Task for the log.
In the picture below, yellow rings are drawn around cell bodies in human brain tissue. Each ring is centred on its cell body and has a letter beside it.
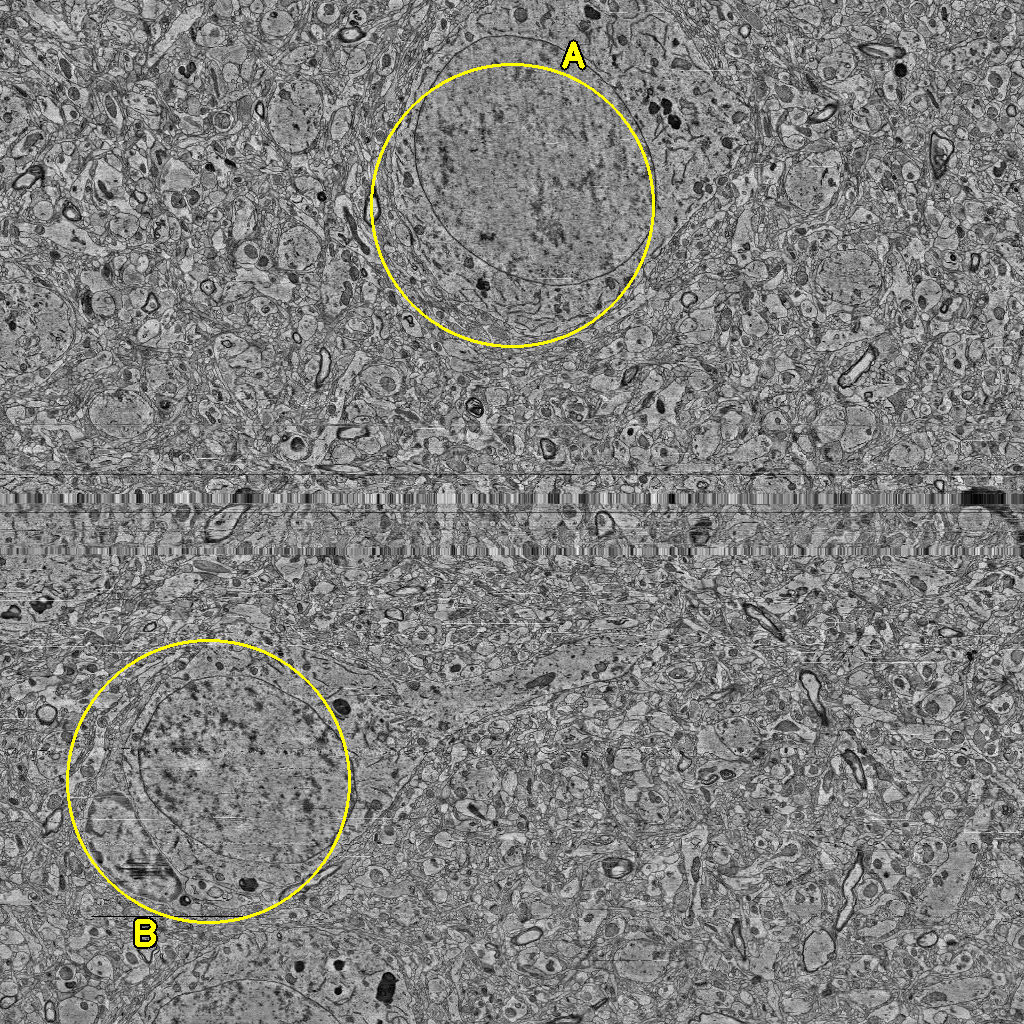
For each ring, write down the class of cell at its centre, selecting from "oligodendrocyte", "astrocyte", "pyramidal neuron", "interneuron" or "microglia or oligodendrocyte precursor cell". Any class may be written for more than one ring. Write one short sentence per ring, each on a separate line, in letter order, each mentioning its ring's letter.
The cell inside ring A, at its centre, is a pyramidal neuron.
The cell inside ring B, at its centre, is a pyramidal neuron.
